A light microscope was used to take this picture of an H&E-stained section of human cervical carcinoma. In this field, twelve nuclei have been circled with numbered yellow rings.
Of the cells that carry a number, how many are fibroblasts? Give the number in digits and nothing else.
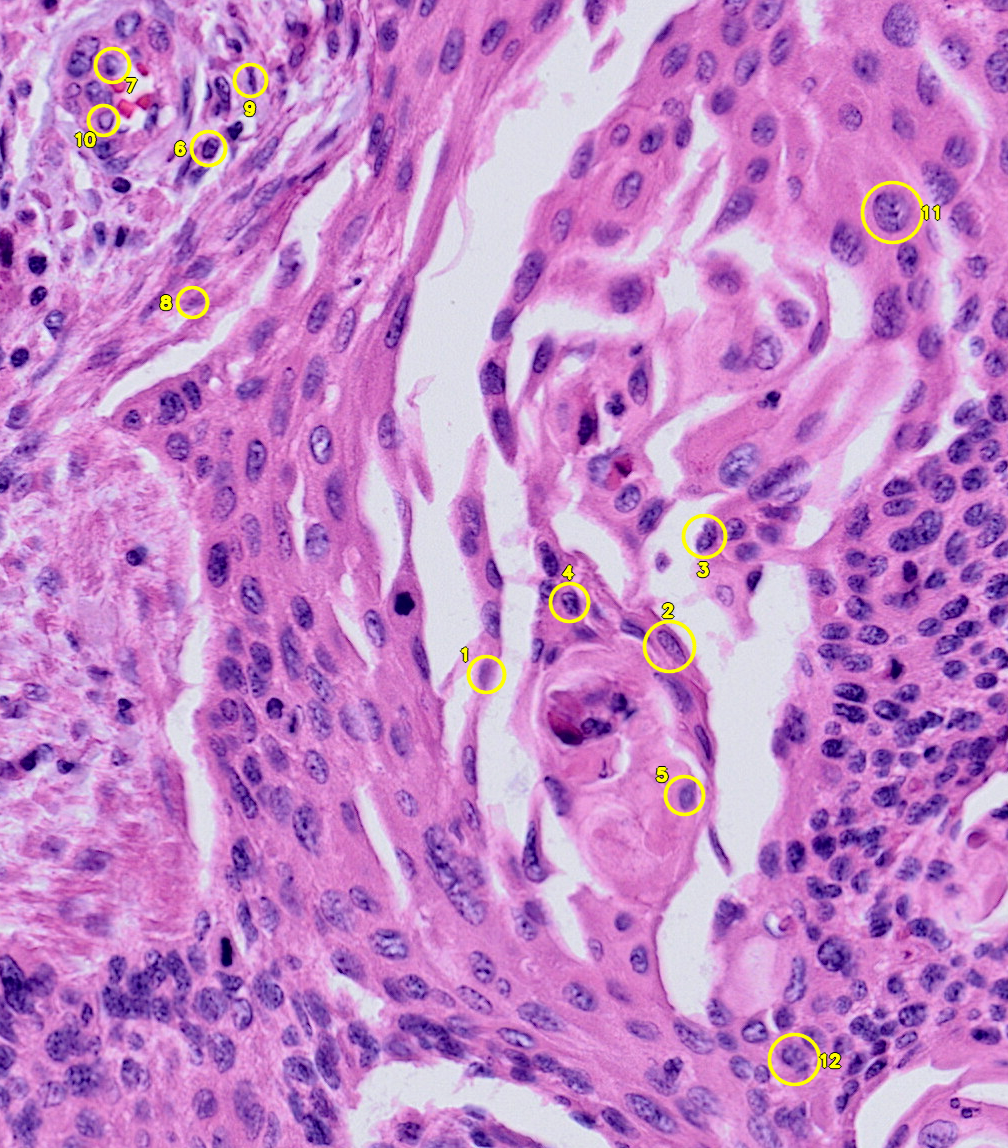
2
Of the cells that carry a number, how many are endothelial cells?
2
